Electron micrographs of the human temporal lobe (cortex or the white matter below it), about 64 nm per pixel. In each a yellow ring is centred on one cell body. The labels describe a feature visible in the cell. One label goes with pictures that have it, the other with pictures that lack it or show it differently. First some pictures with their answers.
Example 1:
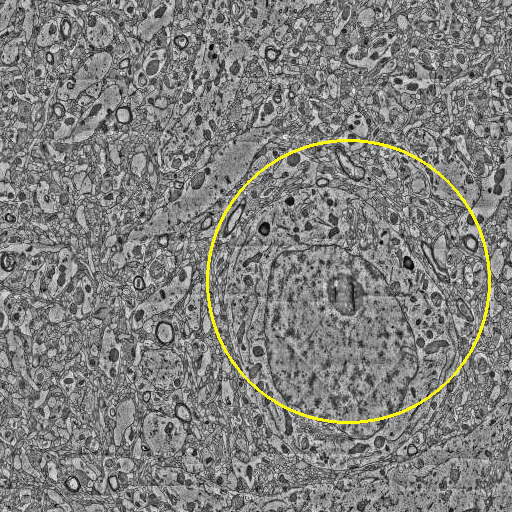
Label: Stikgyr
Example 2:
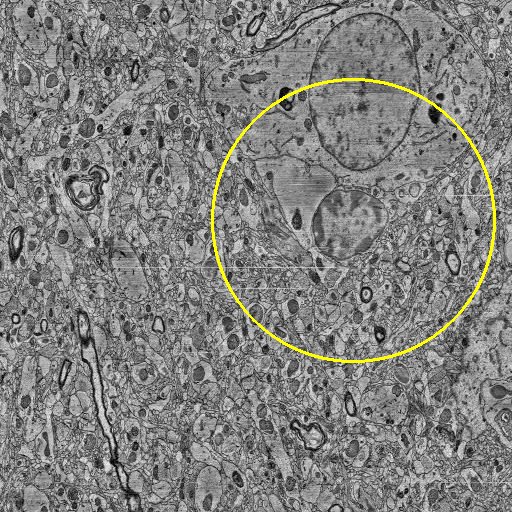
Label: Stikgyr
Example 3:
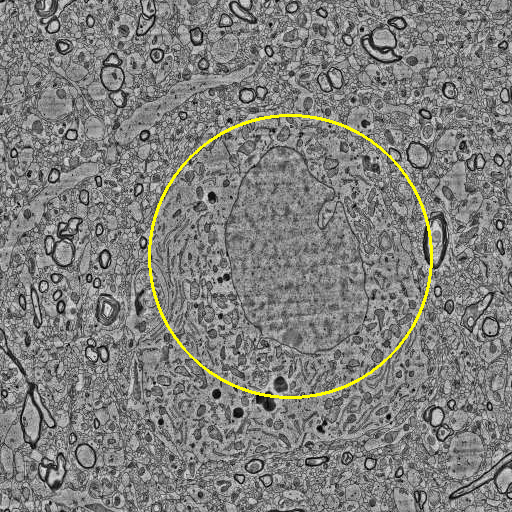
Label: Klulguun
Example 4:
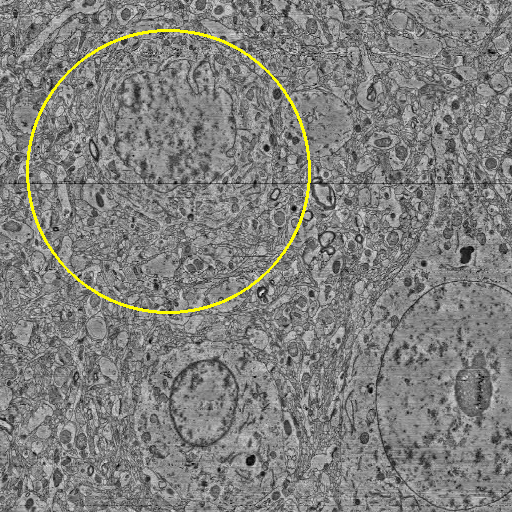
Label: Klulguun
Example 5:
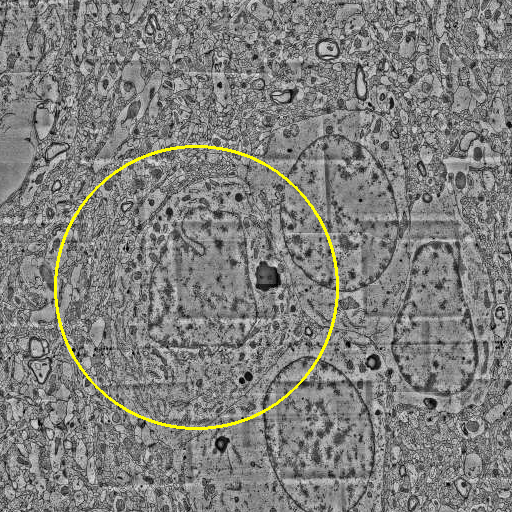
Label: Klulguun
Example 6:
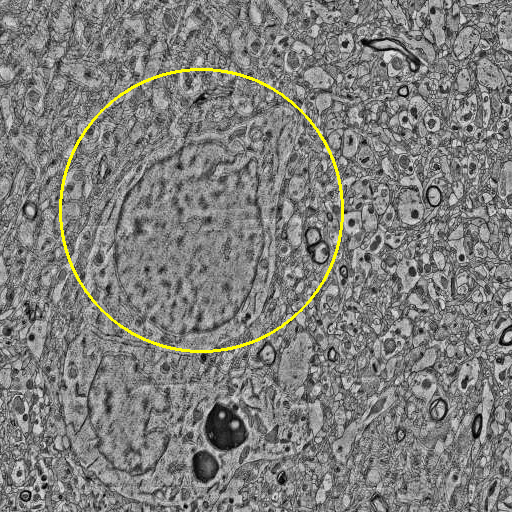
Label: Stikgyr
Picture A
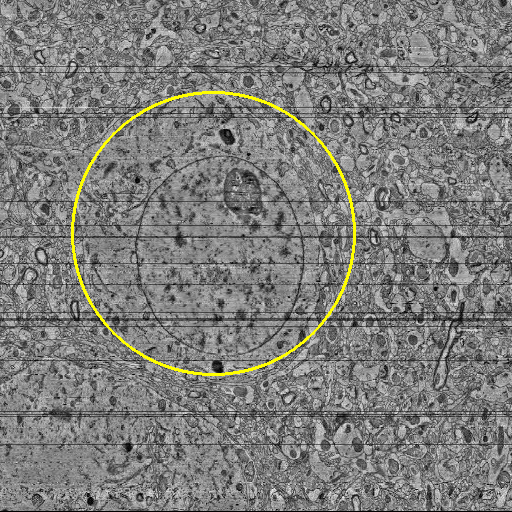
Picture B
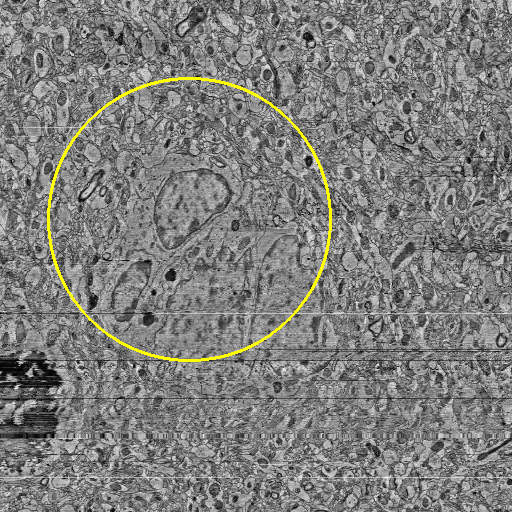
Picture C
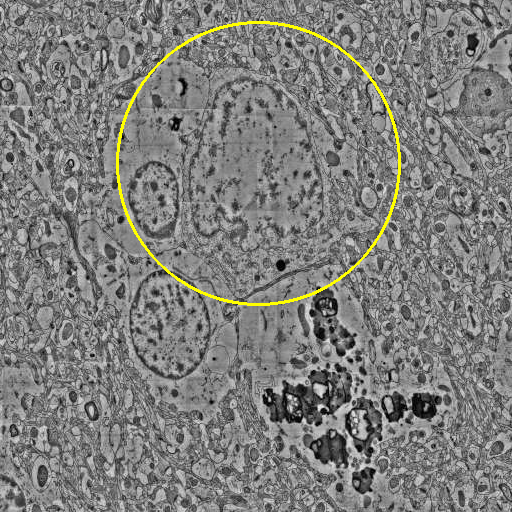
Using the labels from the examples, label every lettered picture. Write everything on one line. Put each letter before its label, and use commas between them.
A Stikgyr, B Stikgyr, C Klulguun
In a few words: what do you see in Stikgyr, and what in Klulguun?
In Stikgyr: smooth nuclear envelopes without deep folds. In Klulguun: deeply folded or indented nuclear envelopes.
